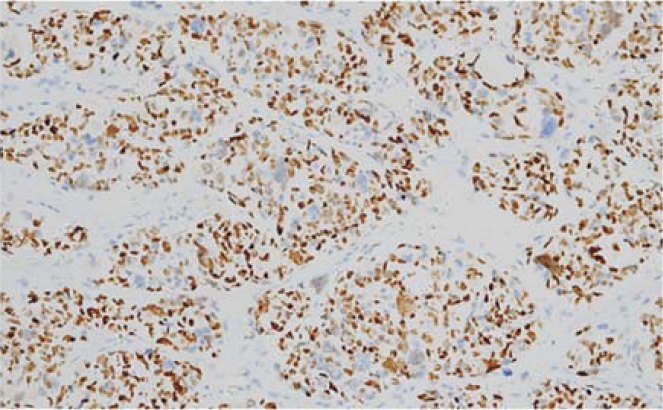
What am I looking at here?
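Nests of tumor cells are separated by pale blue, loosely fibrous stroma with sparse, blue-nucleated stromal cells. Within the nests most of the nuclei are stained dark brown, while the stroma stays unstained. The brown stain is nuclear and strong in the large majority of tumor cells, a diffuse positive pattern.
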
